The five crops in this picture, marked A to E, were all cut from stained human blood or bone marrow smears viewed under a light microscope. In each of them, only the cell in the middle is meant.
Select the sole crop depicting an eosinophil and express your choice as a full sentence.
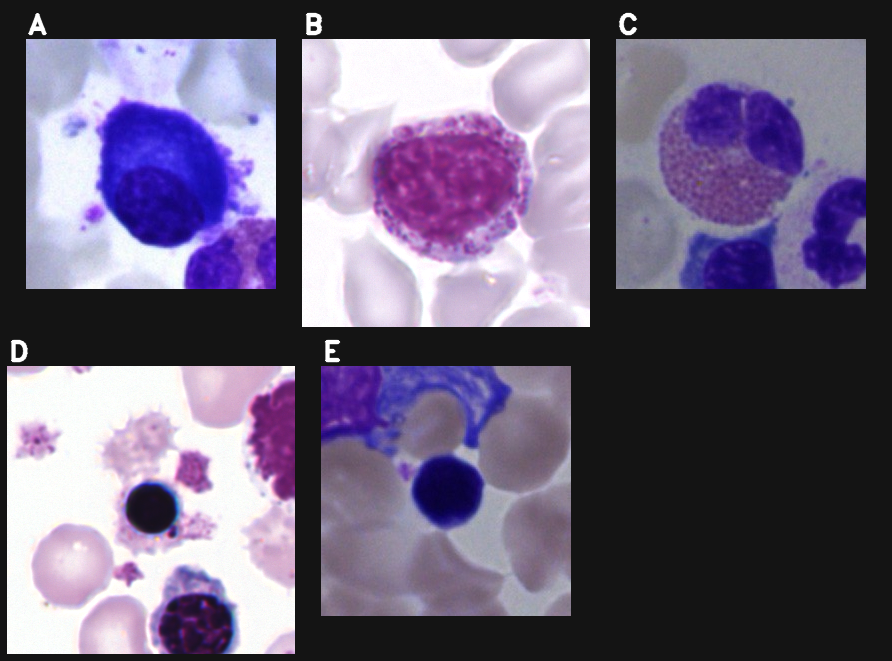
The crop in which an eosinophil is shown is crop C.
